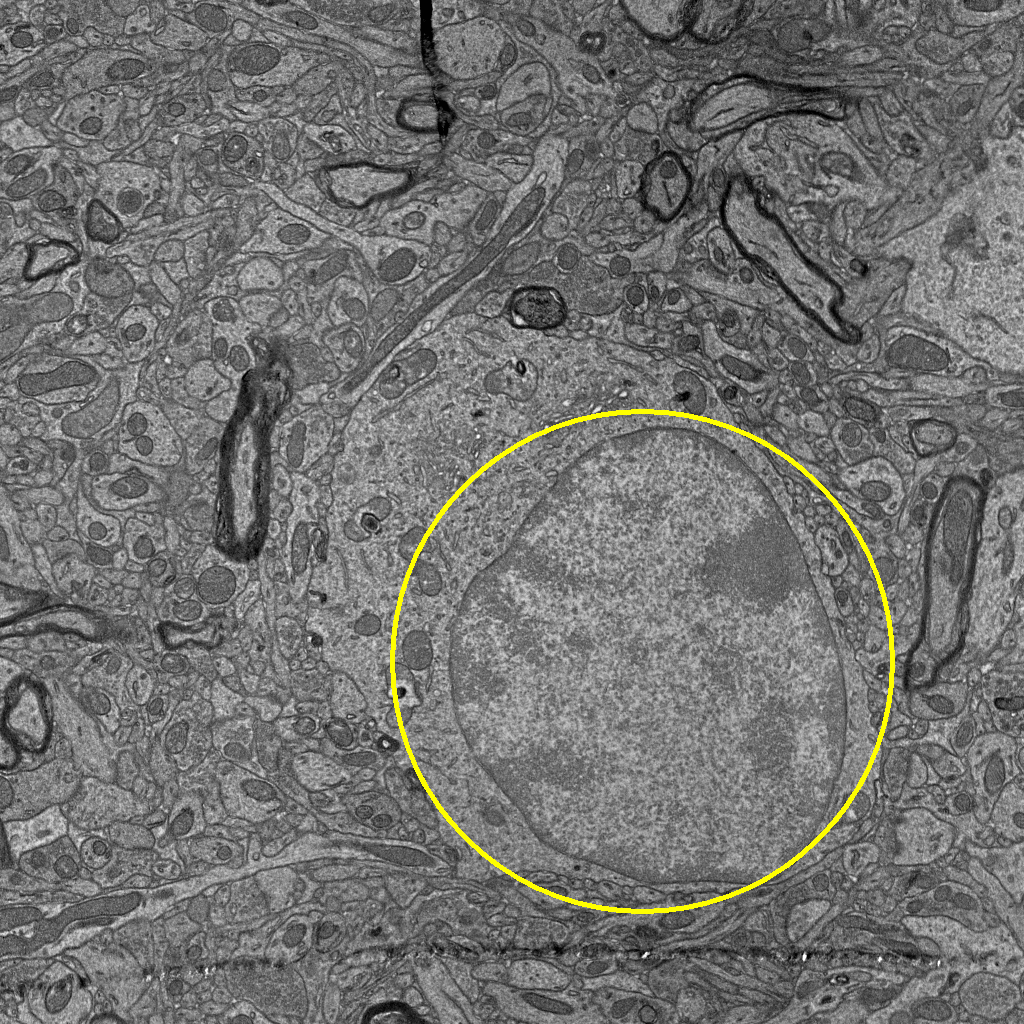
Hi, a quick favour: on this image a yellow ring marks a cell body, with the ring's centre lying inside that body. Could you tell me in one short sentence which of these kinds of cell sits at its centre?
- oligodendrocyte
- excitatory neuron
The ring's centre lies in an oligodendrocyte.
